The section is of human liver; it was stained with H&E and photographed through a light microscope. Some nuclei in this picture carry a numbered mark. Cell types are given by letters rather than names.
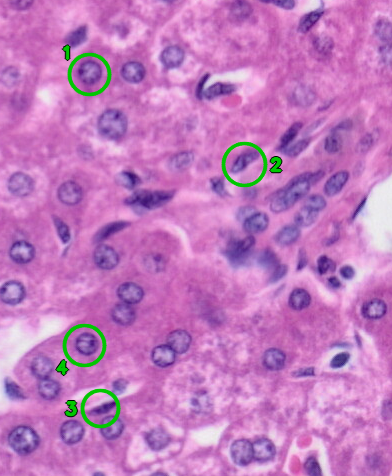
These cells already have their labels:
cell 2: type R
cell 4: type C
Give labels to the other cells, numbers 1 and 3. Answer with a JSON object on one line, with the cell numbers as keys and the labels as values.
{"1": "type C", "3": "type R"}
